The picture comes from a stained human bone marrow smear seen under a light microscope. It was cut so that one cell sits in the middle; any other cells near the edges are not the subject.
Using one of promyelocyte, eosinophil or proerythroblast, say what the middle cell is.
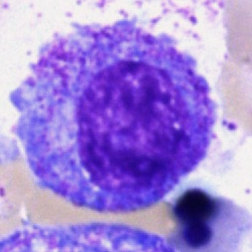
promyelocyte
